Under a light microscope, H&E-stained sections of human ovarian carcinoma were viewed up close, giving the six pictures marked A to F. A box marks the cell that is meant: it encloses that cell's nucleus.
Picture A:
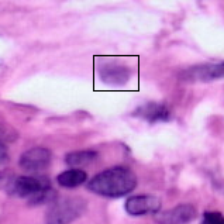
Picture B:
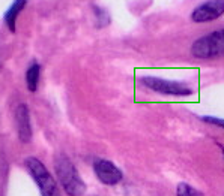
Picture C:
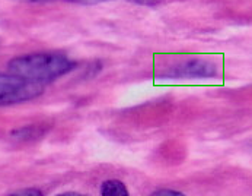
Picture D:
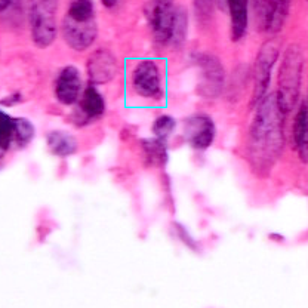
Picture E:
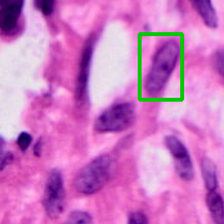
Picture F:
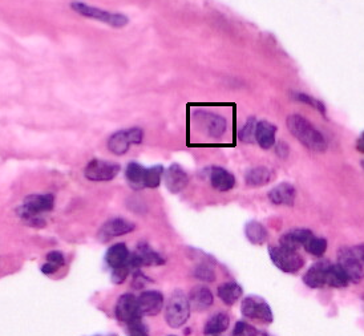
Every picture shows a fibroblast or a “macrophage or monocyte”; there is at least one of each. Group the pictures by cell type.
A: fibroblast
B: fibroblast
C: fibroblast
D: macrophage or monocyte
E: fibroblast
F: macrophage or monocyte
